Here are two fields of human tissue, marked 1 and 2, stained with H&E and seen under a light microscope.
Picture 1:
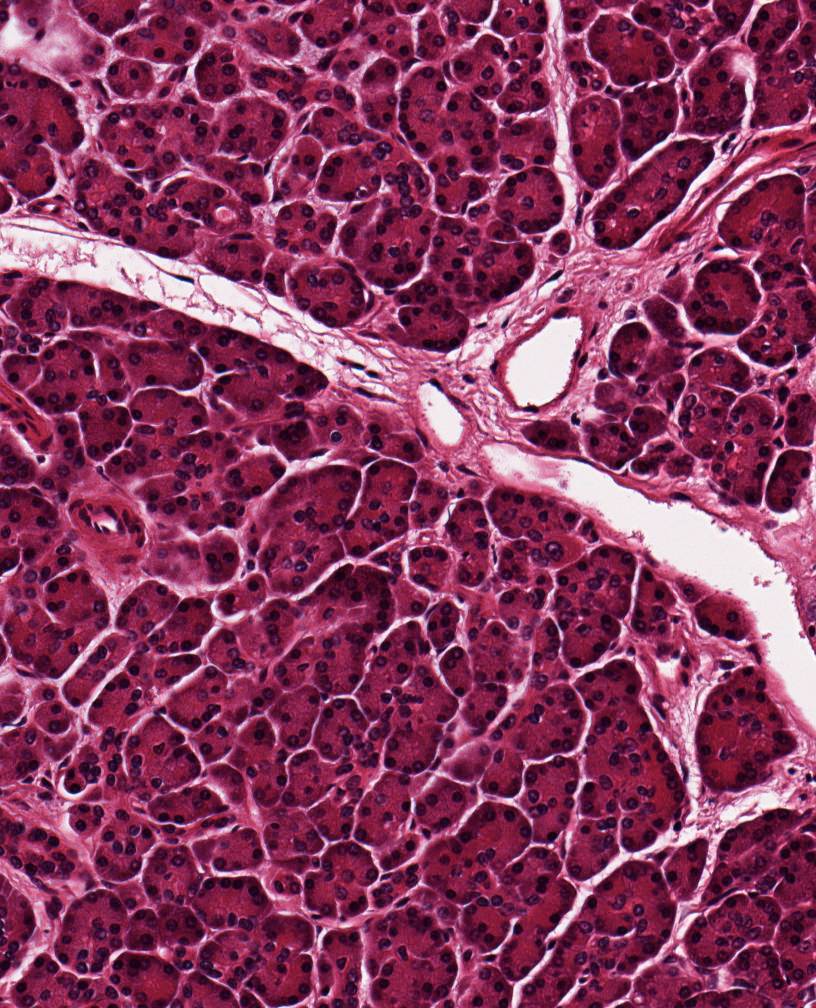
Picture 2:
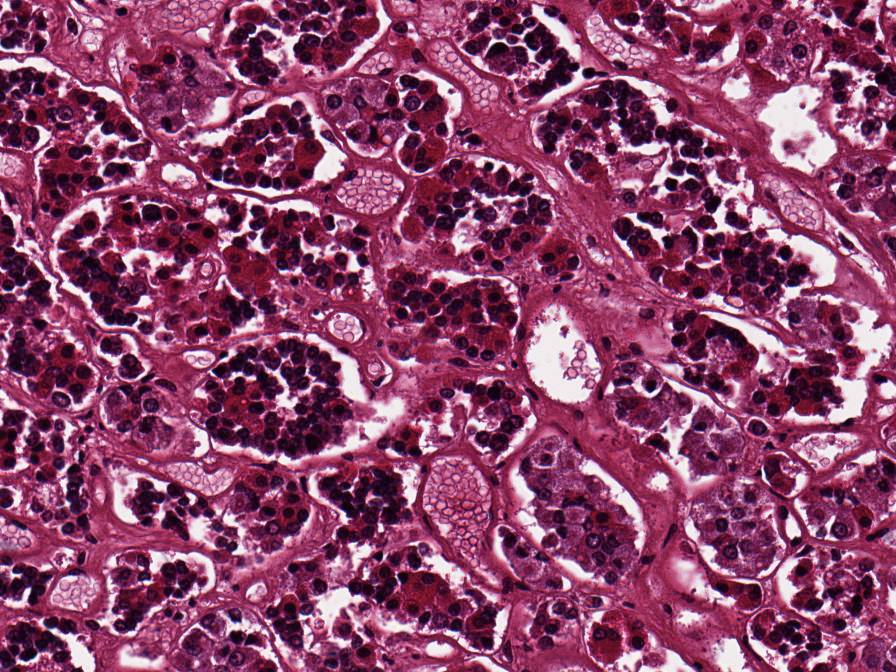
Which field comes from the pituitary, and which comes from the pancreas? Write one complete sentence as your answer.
It is picture 1 that comes from the pancreas, and picture 2 that comes from the pituitary.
